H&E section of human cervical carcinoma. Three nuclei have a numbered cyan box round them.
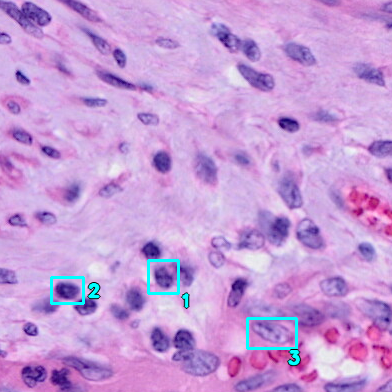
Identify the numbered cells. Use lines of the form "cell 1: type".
cell 1: lymphocyte
cell 2: lymphocyte
cell 3: endothelial cell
